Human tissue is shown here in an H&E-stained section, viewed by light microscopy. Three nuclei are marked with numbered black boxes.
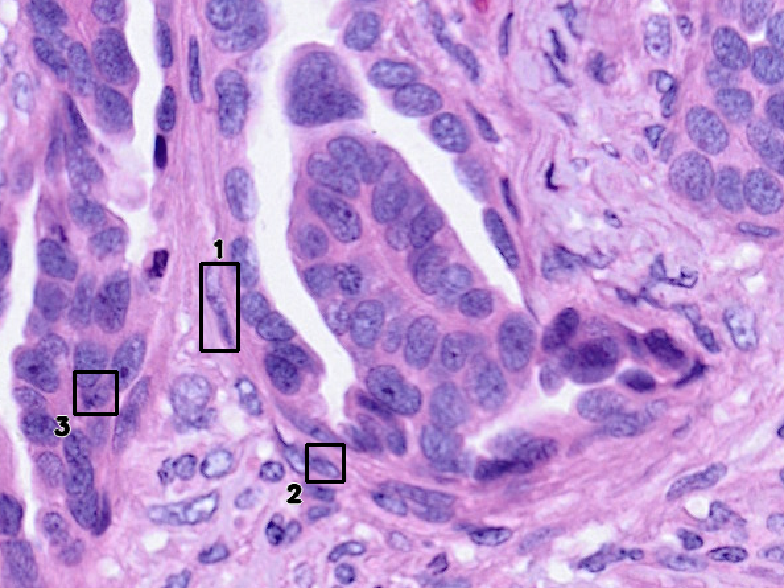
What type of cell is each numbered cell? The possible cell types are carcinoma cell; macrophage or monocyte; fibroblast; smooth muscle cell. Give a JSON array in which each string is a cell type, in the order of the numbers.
["fibroblast", "fibroblast", "carcinoma cell"]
